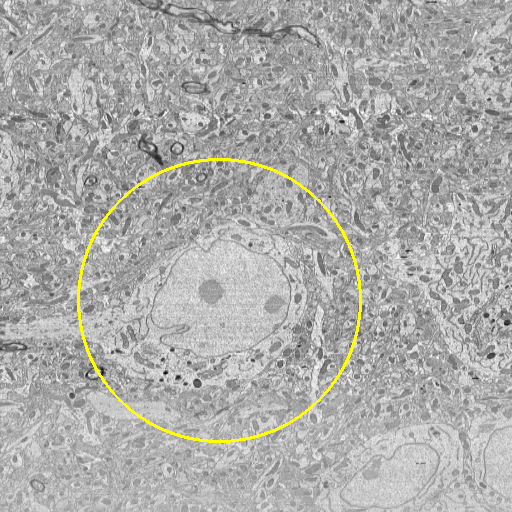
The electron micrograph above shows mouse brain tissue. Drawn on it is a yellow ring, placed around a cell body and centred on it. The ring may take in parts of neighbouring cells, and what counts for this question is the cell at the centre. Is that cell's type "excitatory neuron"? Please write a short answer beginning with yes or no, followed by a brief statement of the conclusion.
Yes, its type is the one named.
